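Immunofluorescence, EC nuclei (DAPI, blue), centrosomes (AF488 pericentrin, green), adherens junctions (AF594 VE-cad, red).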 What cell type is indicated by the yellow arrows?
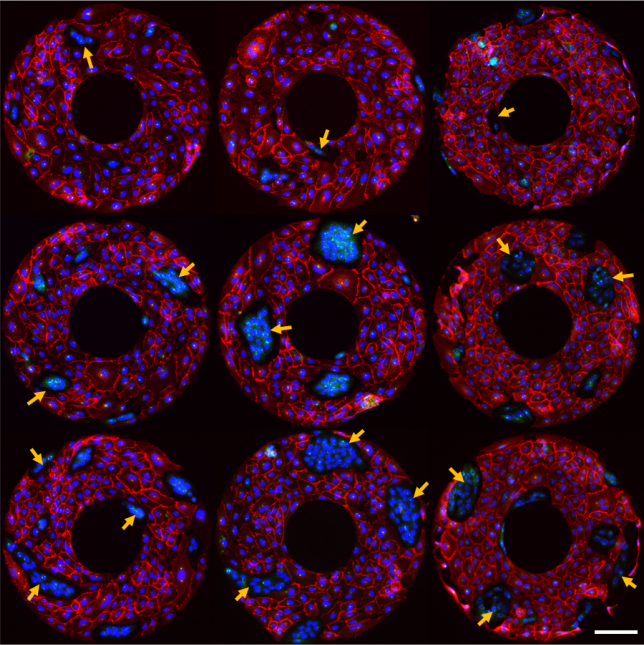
Tumor cells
